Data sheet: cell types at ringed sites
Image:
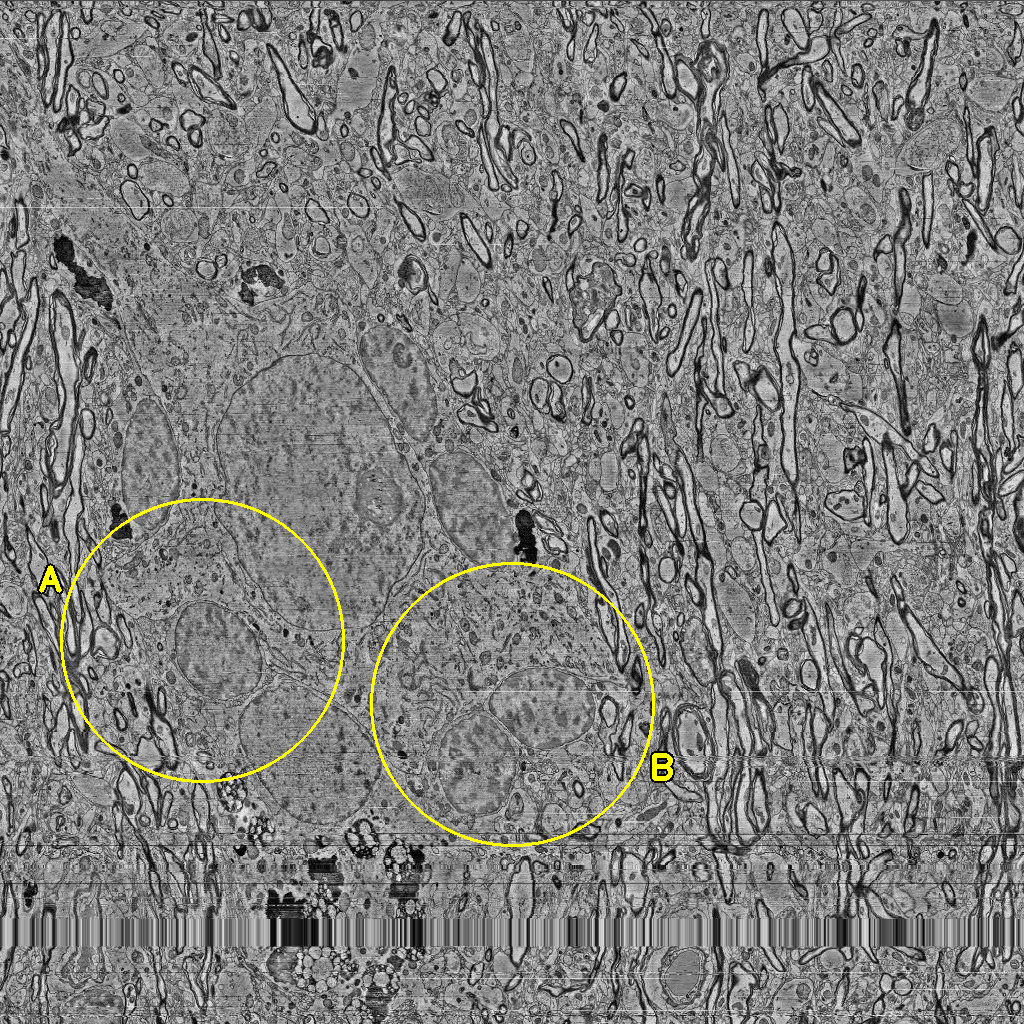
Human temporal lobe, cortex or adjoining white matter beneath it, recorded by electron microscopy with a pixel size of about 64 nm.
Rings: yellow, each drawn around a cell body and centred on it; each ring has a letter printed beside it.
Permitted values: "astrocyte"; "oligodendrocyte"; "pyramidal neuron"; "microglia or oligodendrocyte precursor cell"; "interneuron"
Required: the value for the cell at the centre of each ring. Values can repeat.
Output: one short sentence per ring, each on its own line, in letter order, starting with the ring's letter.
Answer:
Ring A has an oligodendrocyte at its centre.
Ring B has a microglial cell or oligodendrocyte precursor cell at its centre.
